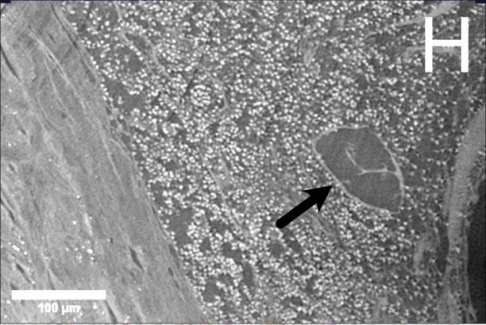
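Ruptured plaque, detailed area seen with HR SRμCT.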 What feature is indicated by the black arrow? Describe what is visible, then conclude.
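Neo-vessels. The arrow points to a small oval lumen with a thin wall. The lumen sits amid densely packed small round bright particles.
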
